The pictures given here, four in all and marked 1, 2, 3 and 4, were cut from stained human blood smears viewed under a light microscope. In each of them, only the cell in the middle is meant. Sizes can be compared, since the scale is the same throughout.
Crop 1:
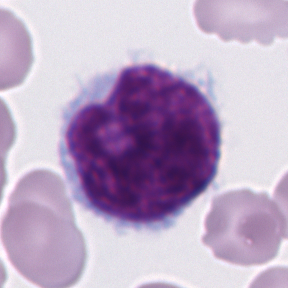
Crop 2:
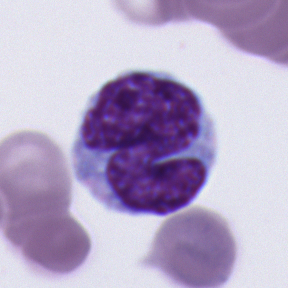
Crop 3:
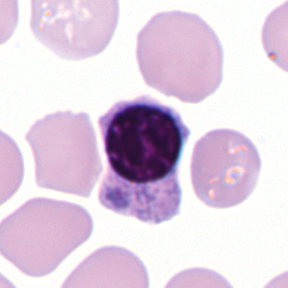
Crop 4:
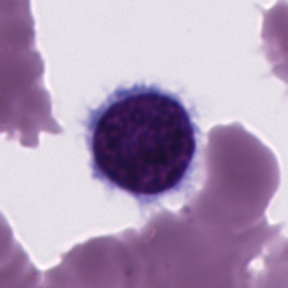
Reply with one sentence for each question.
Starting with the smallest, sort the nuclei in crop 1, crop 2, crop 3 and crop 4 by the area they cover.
Going up, they run 3, 4, 2, 1.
